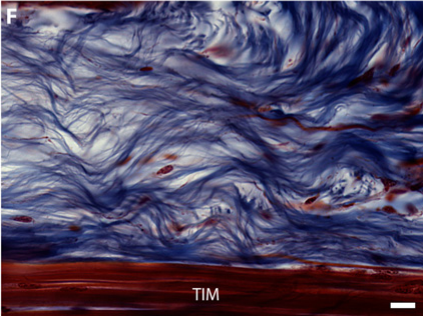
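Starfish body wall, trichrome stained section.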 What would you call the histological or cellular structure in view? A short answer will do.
macro‐crimp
